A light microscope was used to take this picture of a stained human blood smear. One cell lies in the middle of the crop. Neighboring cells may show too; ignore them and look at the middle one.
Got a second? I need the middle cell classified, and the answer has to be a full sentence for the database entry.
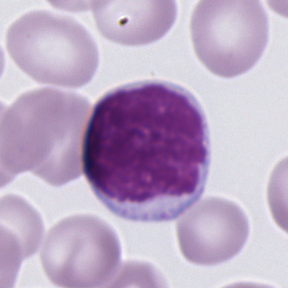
In the center of this field lies a large granular lymphocyte.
